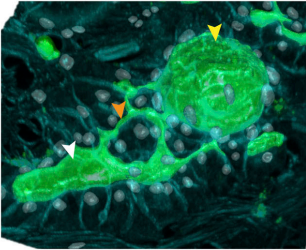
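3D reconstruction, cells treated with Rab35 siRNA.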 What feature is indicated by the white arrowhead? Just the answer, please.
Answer: Enlarged swollen lumina of epithelial tubes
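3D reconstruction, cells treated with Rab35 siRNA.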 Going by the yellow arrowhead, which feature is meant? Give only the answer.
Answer: Spherical cyst-like structures.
